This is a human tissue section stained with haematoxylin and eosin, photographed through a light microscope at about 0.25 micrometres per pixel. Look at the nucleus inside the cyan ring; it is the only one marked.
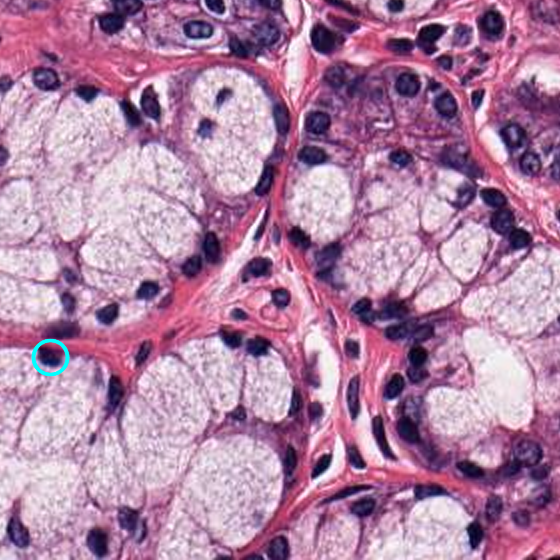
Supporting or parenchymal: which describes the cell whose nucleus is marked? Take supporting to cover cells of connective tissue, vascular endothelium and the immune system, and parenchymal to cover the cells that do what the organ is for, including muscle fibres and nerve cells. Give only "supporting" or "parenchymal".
parenchymal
